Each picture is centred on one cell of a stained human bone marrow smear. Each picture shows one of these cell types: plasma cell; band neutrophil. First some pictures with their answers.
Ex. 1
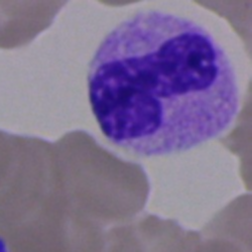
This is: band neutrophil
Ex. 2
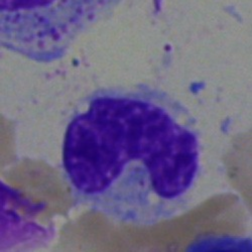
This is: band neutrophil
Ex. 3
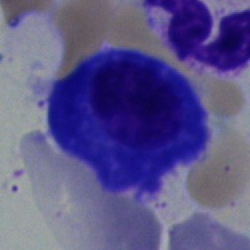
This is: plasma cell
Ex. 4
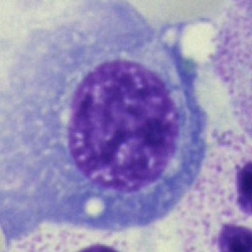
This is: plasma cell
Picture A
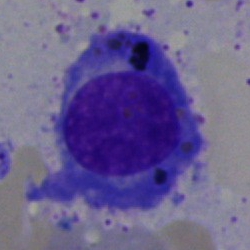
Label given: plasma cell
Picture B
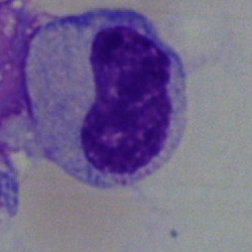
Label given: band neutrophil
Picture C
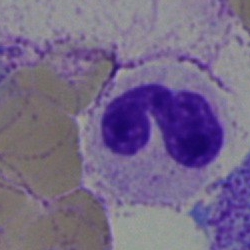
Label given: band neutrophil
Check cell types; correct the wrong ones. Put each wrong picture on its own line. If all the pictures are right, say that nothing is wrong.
All labels are correct.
